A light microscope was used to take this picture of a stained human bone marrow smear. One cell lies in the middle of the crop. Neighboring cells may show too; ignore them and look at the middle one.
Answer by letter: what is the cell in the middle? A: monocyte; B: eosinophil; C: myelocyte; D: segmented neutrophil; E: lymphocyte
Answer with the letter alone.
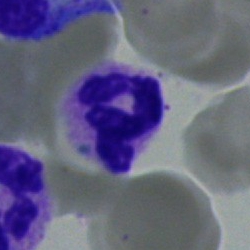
D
